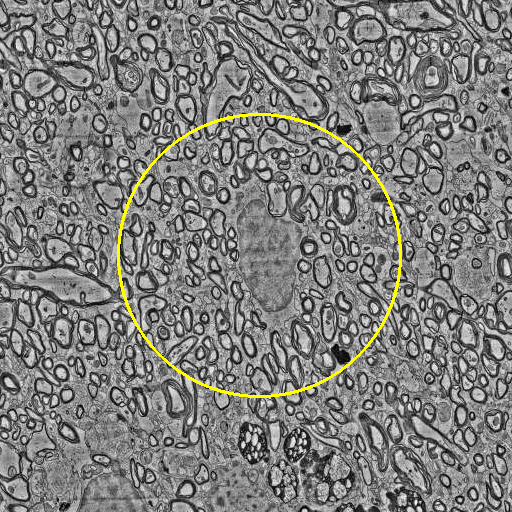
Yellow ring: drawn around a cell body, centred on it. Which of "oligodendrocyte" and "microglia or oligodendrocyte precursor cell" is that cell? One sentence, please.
That cell body is from an oligodendrocyte.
